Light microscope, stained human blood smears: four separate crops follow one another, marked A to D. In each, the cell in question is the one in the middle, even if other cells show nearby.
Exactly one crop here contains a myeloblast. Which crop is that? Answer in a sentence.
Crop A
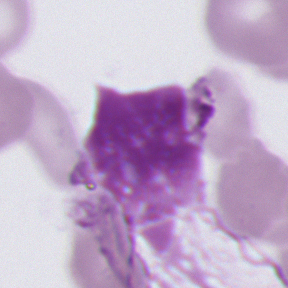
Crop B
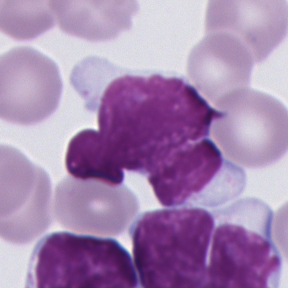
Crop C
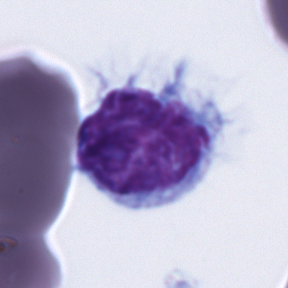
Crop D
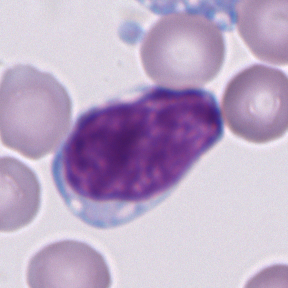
On review of the set, crop D is the one showing a myeloblast.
